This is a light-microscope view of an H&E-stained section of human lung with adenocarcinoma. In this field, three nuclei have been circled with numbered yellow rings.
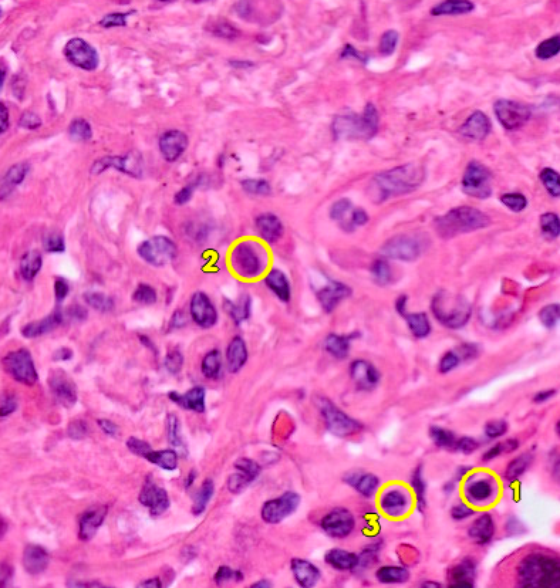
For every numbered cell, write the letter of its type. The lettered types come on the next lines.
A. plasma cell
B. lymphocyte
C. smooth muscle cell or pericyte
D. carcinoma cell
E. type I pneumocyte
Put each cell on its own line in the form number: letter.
1: B
2: A
3: B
